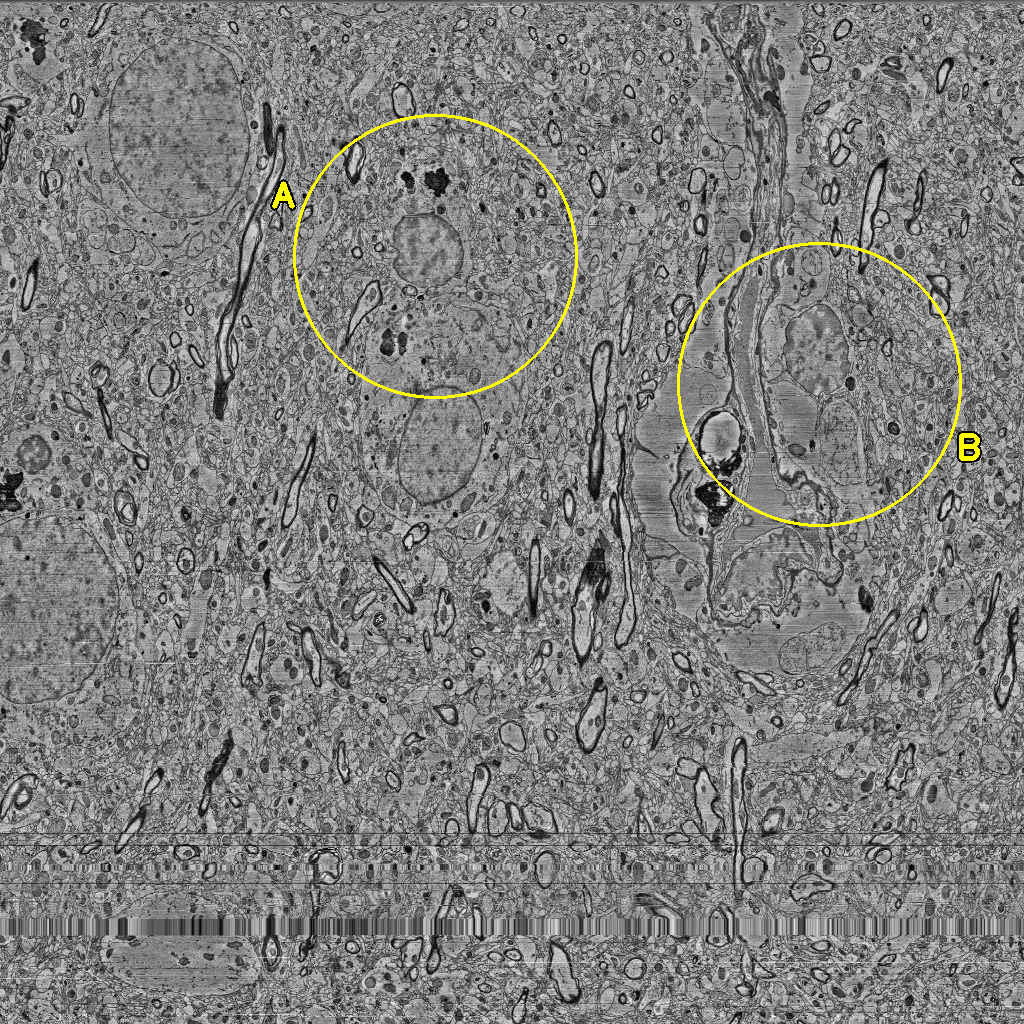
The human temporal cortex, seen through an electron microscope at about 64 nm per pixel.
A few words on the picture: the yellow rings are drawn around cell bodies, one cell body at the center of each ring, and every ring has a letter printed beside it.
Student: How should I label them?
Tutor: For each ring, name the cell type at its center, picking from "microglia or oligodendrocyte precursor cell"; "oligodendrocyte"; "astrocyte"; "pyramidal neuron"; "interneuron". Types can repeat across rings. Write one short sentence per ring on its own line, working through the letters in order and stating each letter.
In ring A, the central cell is an oligodendrocyte.
In ring B, the central cell is a microglial cell or oligodendrocyte precursor cell.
